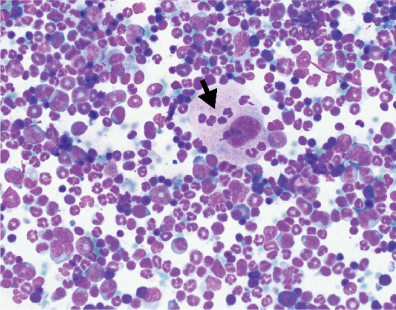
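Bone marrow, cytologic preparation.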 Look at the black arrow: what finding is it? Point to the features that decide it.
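The arrow points to a very large cell with abundant pale cytoplasm. Small cells with dark segmented nuclei lie within the large cell's cytoplasm. The answer: emperiopolesis of neutrophils.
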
